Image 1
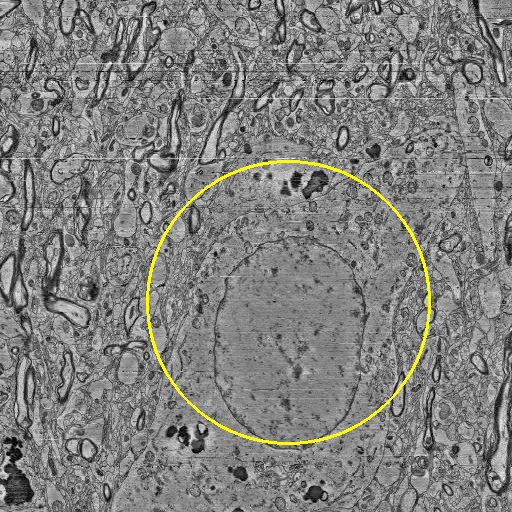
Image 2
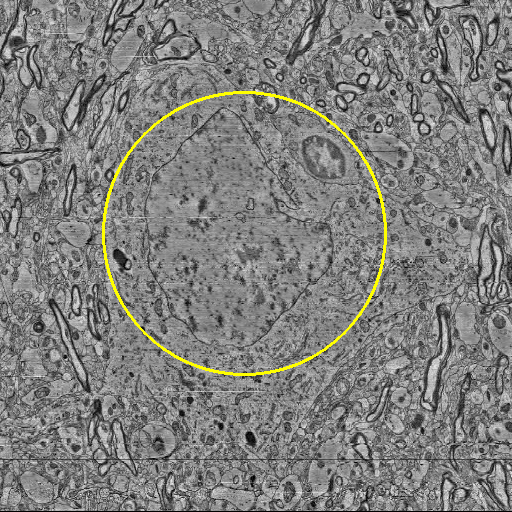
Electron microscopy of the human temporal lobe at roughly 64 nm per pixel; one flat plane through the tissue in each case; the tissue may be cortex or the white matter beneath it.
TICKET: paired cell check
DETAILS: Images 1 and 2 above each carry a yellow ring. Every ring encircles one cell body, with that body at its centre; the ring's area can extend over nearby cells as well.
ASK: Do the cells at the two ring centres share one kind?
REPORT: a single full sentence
Yes, the ring-centre cells of Images 1 and 2 belong to a single kind.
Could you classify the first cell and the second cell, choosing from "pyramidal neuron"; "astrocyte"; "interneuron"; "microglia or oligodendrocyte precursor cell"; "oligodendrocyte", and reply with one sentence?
In each picture the ringed cell is a pyramidal neuron.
